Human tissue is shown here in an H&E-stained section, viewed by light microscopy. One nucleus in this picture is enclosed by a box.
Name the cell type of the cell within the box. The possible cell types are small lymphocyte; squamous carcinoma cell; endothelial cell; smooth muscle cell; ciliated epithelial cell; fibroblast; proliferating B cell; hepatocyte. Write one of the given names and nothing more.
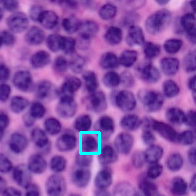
small lymphocyte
